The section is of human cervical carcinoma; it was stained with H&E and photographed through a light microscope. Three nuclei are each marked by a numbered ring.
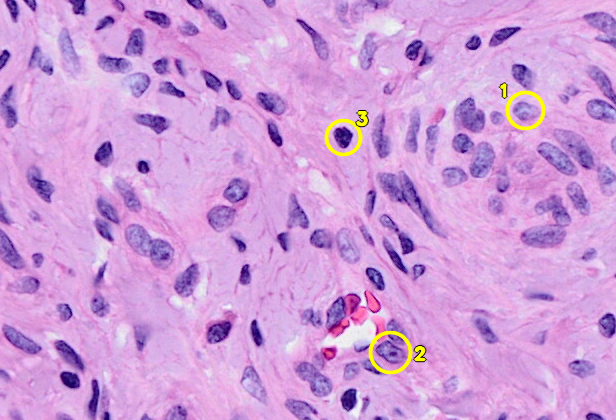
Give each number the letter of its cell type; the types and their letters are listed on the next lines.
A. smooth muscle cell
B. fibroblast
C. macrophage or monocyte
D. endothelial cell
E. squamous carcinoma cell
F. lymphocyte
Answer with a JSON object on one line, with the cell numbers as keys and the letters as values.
{"1": "A", "2": "D", "3": "F"}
